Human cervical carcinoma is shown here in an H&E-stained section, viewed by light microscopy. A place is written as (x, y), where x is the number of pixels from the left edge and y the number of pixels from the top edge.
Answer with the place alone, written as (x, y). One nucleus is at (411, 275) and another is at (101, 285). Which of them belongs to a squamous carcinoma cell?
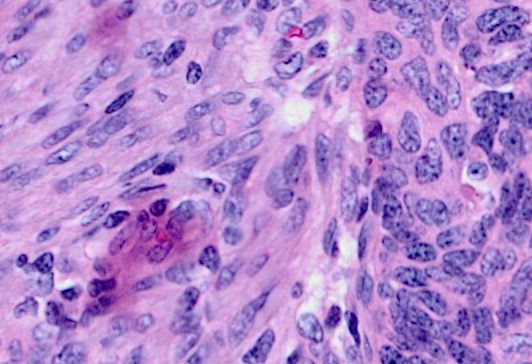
(411, 275)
